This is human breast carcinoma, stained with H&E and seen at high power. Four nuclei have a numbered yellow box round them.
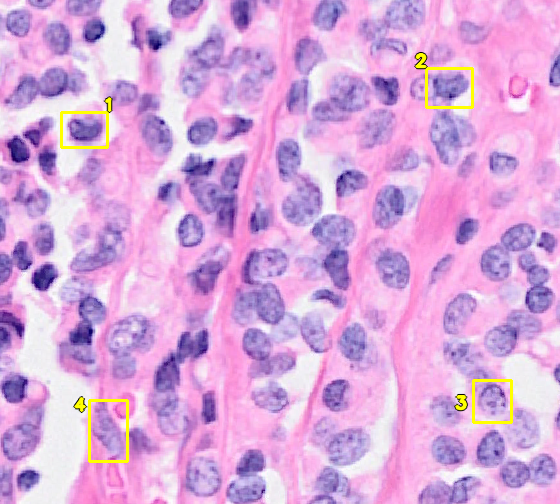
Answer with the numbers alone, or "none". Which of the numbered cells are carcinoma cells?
1, 2, 3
